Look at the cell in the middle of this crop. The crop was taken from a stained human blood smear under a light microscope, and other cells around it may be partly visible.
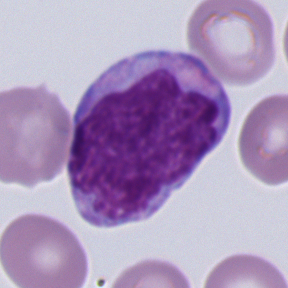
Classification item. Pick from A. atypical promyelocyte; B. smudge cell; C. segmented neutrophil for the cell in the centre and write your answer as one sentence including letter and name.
That middle cell is an atypical promyelocyte, and option A is therefore correct.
